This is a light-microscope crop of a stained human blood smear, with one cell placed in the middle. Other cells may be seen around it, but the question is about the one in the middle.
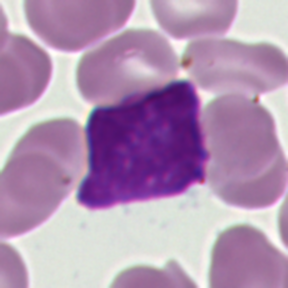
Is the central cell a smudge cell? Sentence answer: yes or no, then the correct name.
Yes, centred in the crop is a smudge cell.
